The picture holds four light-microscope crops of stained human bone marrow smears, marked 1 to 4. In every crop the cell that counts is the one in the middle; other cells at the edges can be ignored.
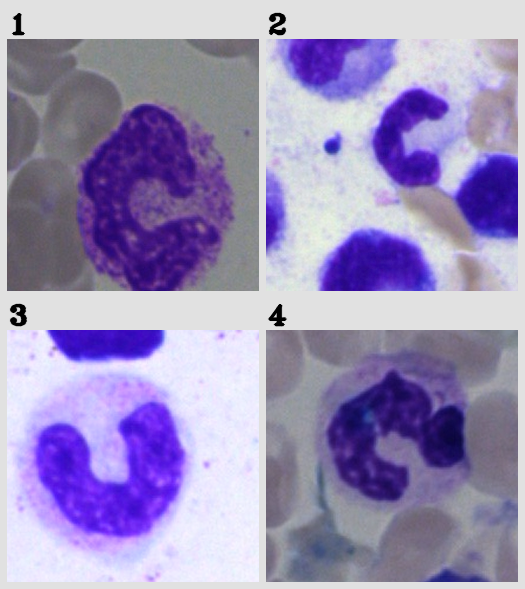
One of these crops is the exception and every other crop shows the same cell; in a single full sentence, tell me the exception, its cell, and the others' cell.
Where the others show segmented neutrophils, crop 3 shows a band neutrophil.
